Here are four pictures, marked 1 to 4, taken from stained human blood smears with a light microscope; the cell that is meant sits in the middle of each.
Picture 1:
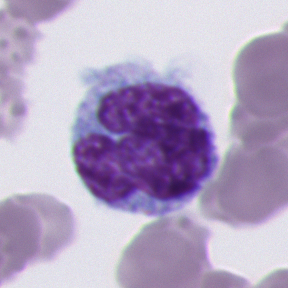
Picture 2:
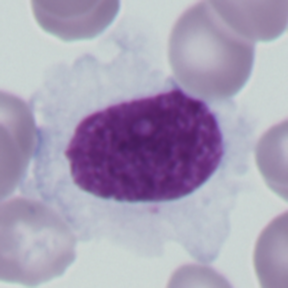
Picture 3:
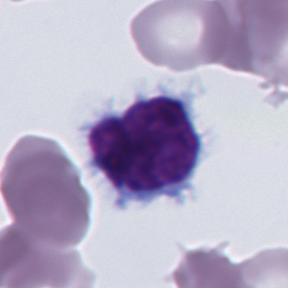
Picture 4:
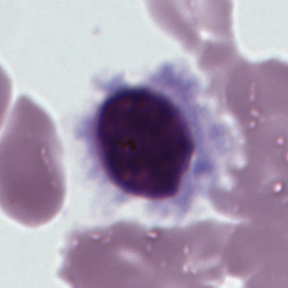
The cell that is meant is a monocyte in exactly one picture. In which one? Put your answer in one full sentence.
The monocyte is the one in picture 1.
